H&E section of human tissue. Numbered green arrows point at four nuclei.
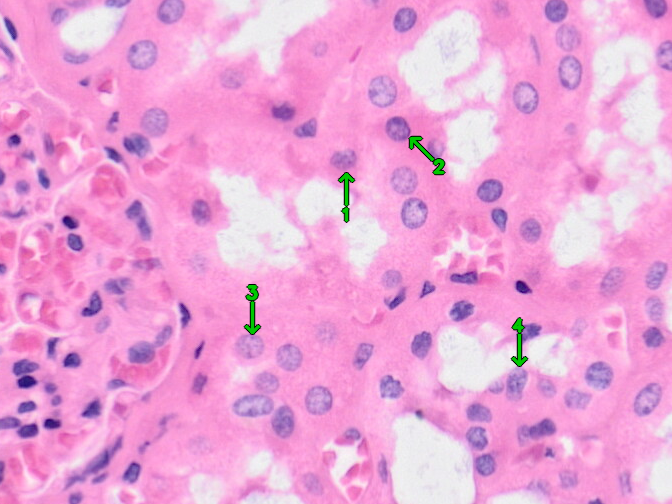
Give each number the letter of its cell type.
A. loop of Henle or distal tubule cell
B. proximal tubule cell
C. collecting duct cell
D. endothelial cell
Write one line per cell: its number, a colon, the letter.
1: B
2: B
3: B
4: A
